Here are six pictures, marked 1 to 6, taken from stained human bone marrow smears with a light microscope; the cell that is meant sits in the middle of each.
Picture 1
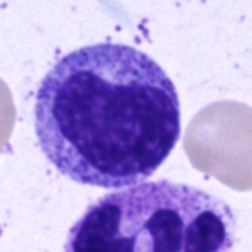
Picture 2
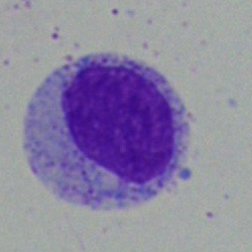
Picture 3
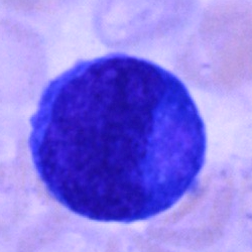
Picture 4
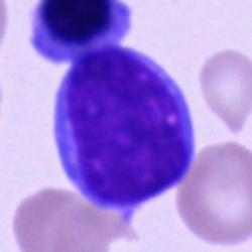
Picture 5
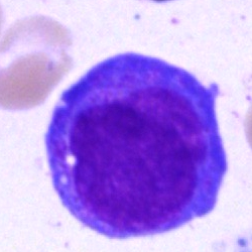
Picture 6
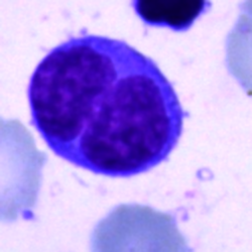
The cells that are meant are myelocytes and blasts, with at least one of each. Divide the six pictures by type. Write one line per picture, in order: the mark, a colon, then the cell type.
1: myelocyte
2: myelocyte
3: blast
4: blast
5: blast
6: blast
